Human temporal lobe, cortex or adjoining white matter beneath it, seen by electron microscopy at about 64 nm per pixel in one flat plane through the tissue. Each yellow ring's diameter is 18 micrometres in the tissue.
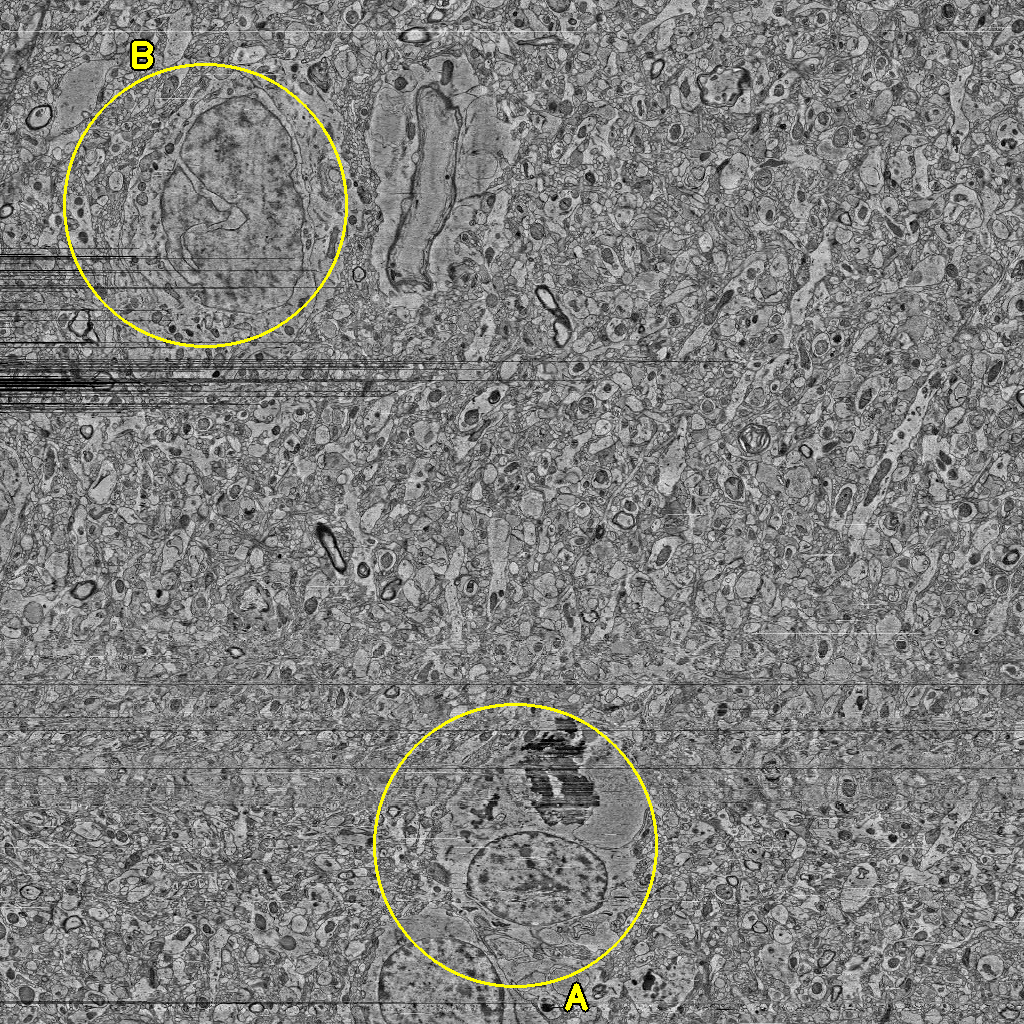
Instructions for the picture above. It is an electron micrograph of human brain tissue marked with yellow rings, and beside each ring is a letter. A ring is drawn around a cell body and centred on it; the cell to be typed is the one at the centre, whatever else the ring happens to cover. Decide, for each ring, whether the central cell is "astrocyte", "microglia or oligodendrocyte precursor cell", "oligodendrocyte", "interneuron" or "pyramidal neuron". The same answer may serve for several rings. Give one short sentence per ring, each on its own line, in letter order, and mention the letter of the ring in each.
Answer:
Ring A is drawn around an astrocyte.
Ring B is drawn around an interneuron.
